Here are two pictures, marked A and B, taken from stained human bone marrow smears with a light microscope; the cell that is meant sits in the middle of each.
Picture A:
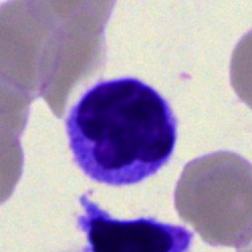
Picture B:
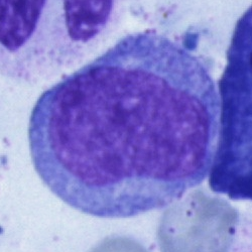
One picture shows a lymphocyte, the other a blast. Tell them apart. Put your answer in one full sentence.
Picture A is of a lymphocyte, and picture B is of a blast.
